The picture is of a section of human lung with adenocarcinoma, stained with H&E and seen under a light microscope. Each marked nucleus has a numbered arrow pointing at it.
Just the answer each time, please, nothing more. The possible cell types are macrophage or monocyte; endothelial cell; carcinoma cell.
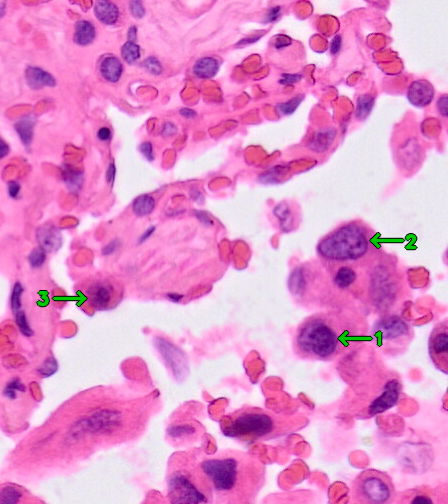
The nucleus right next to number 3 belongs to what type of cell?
endothelial cell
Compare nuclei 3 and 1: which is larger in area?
1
